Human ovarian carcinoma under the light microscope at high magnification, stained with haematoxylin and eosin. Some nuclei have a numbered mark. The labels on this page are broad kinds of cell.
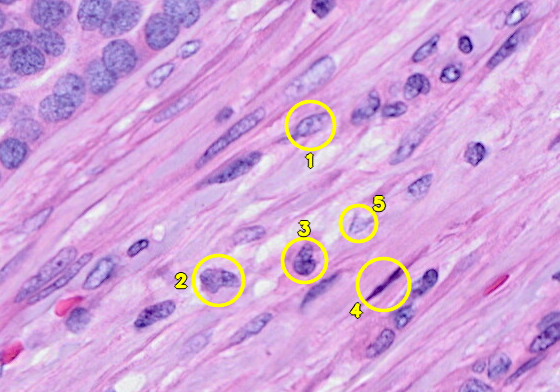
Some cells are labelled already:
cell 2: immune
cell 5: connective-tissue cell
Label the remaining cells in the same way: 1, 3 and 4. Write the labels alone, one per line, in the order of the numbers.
connective-tissue cell
immune
connective-tissue cell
